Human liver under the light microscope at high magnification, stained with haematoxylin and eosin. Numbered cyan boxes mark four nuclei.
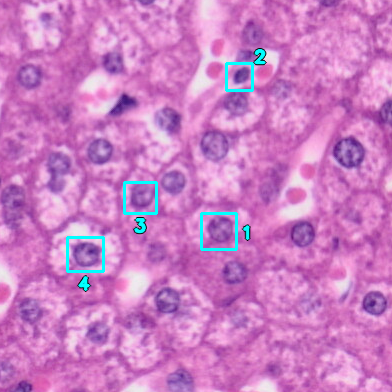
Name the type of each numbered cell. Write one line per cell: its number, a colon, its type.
1: hepatocyte
2: lymphocyte
3: hepatocyte
4: hepatocyte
